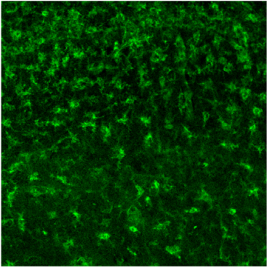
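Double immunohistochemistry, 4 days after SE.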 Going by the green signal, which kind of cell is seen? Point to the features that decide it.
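Activated microglia. Many small green cell bodies are scattered evenly through the tissue. Each green cell has several short, thick, branching processes. The green cells are bushy rather than finely ramified and densely packed.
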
